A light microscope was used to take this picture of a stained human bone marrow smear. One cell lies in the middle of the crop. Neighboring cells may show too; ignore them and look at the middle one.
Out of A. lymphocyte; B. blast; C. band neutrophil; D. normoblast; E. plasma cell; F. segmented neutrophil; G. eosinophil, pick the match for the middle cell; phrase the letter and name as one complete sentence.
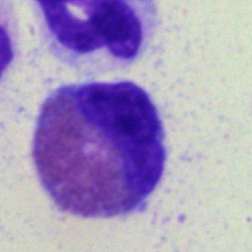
The one to choose is option G, as the cell in the middle is an eosinophil.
